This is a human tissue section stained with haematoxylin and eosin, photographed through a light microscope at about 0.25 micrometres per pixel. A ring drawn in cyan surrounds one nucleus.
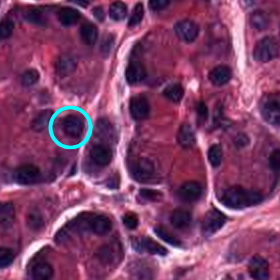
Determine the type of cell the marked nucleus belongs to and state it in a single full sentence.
The marked nucleus, in this picture, belongs to a pancreatic acinar cell.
